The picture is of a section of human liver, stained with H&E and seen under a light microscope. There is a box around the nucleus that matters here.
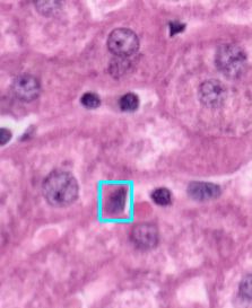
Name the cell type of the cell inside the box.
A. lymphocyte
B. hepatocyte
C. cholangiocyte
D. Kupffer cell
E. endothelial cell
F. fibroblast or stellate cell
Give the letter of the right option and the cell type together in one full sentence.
Looking at the options, pick E; the cell inside the box is an endothelial cell.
